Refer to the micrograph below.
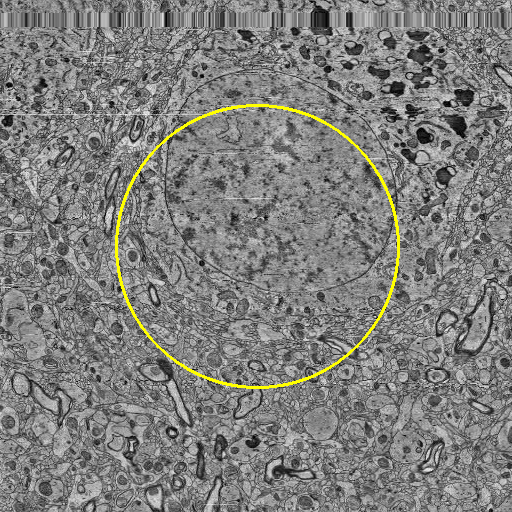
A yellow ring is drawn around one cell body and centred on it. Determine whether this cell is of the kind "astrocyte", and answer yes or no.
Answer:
no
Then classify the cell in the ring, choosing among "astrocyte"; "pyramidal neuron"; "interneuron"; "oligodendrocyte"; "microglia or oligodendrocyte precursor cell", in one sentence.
The cell this ring marks is a pyramidal neuron.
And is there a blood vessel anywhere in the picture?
No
